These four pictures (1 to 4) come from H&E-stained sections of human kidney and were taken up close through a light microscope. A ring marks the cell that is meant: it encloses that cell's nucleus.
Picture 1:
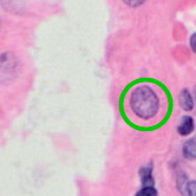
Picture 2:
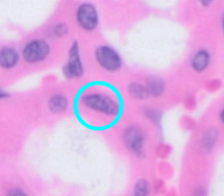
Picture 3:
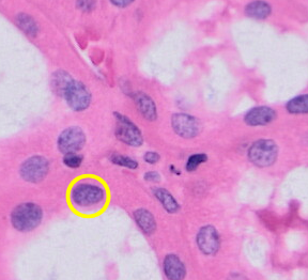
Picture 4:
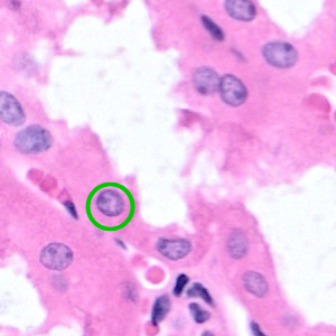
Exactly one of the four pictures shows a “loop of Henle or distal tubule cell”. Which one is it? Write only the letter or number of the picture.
3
